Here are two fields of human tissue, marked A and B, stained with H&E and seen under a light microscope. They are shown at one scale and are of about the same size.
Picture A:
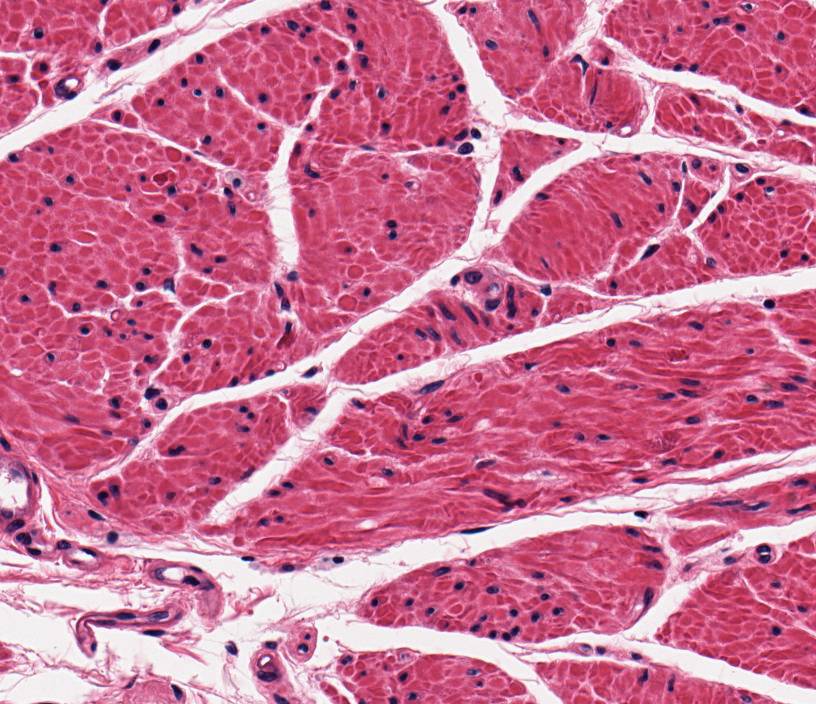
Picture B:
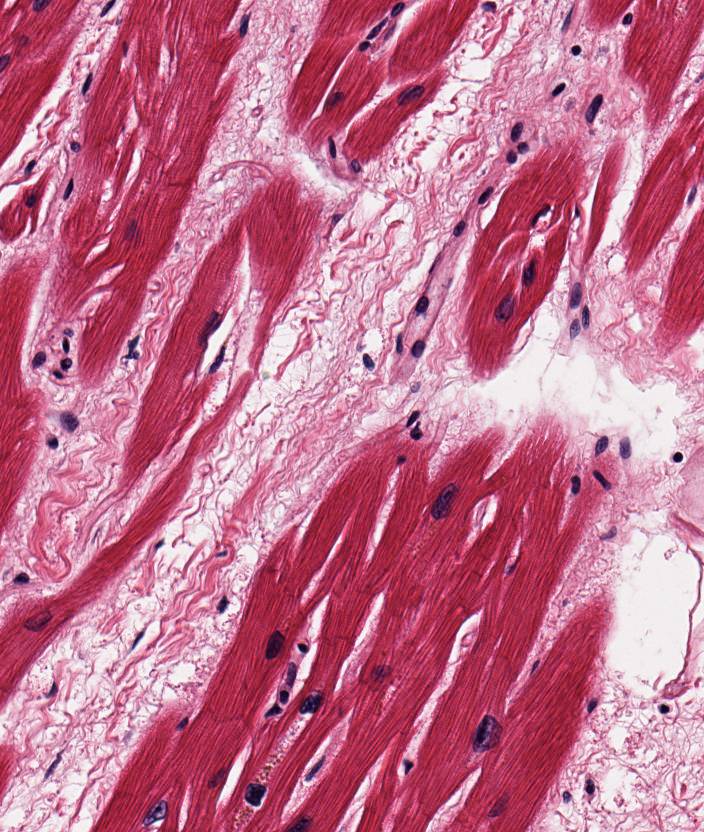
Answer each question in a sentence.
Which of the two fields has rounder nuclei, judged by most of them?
Rounder nuclei lie in picture A.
